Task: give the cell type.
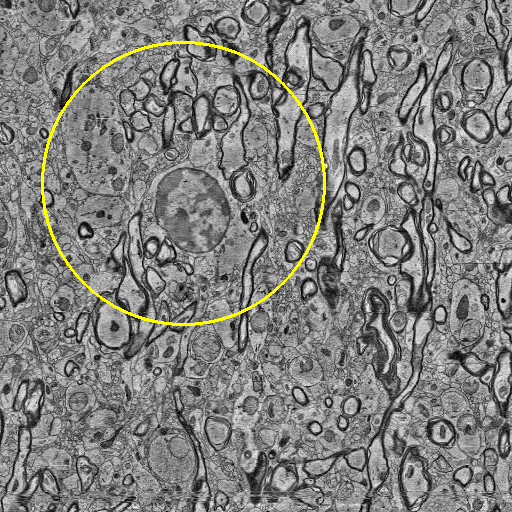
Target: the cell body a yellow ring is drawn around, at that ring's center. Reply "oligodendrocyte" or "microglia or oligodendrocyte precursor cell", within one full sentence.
In this picture, the cell whose body lies at the ring's center is a microglial cell or oligodendrocyte precursor cell.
